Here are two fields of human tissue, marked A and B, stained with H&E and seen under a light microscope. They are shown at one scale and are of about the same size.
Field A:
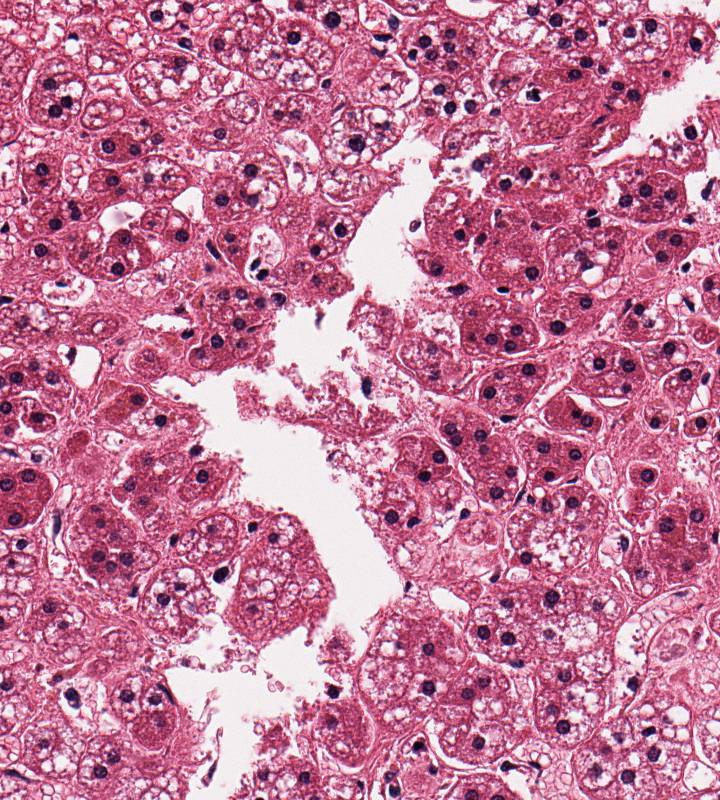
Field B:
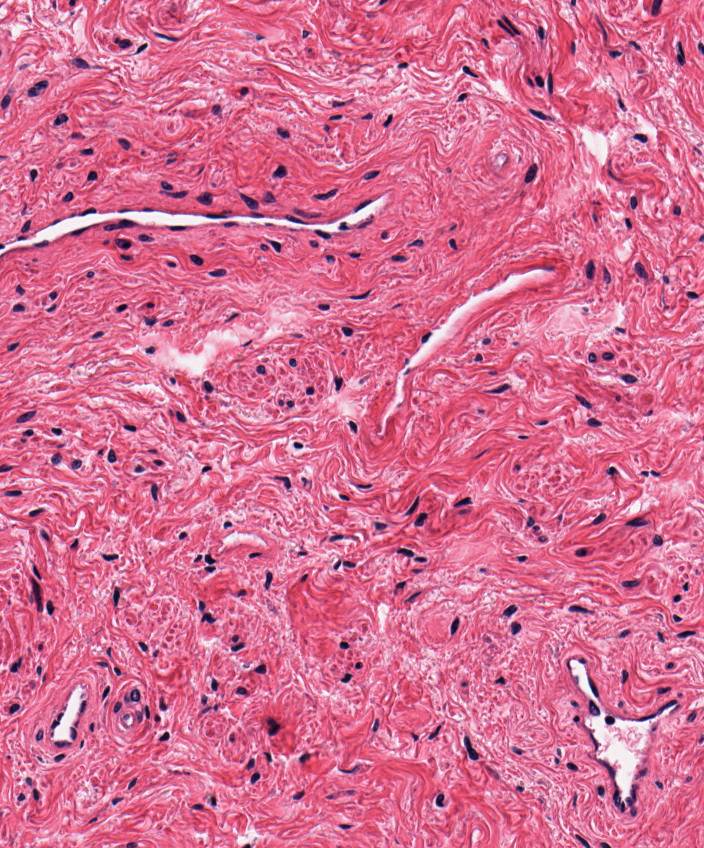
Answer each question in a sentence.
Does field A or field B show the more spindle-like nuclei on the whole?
The nuclei are more elongated in field B.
